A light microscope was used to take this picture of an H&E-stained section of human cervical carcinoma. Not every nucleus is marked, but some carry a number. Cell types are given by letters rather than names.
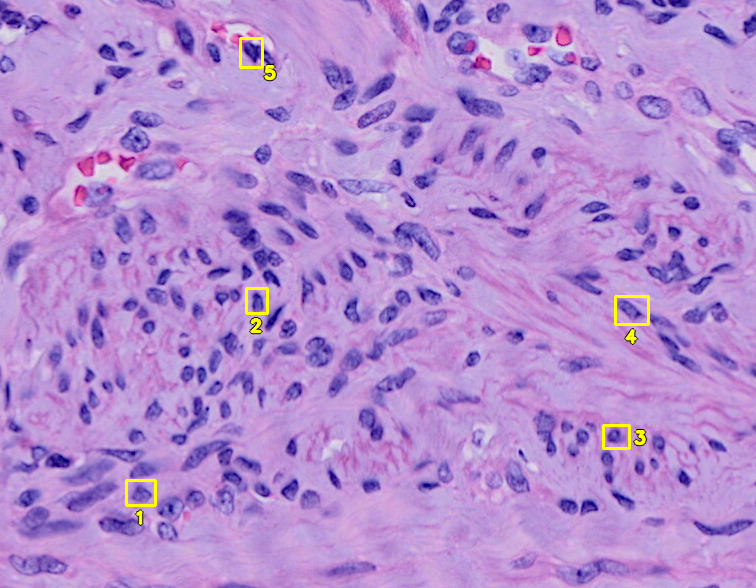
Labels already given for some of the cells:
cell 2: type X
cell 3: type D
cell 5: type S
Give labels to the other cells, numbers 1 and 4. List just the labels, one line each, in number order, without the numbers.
type X
type D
